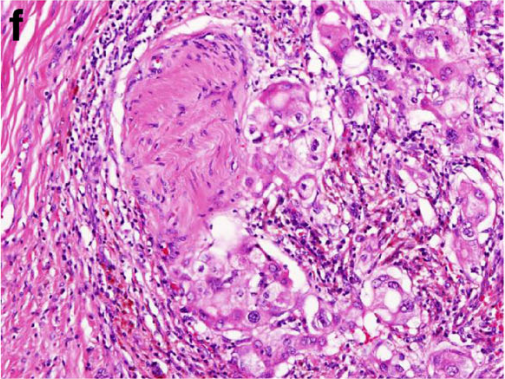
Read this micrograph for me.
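Nerve bundle invaded by carcinoma: an oval nerve of pink wavy fibres with slender, elongated nuclei is bordered and partly encircled by nests of large tumour cells. The tumour cells have pale to clear, vacuolated pink cytoplasm and large nuclei with nucleoli. A dense infiltrate of small dark round lymphocytes lies in the stroma around the nerve and tumour cells. Dense pink collagen bundles run along the left edge.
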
